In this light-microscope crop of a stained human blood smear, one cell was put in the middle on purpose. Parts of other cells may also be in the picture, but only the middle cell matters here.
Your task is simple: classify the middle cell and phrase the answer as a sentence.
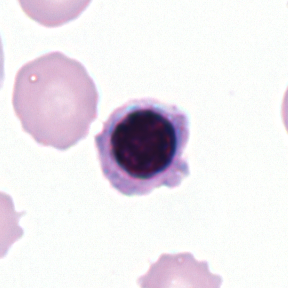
This crop is built around a normoblast at its centre.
